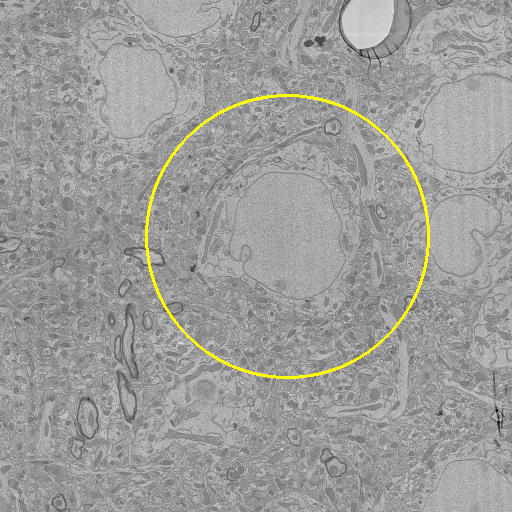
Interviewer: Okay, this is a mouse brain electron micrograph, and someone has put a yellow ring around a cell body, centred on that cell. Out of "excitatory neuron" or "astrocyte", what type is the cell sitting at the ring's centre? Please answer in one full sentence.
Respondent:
The cell at the centre of the yellow ring in this picture is an excitatory neuron.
